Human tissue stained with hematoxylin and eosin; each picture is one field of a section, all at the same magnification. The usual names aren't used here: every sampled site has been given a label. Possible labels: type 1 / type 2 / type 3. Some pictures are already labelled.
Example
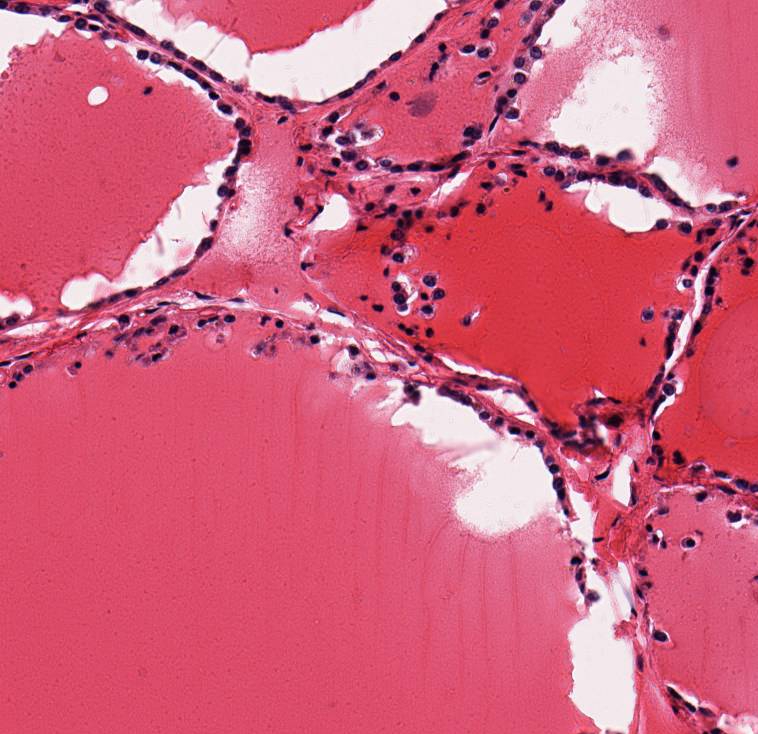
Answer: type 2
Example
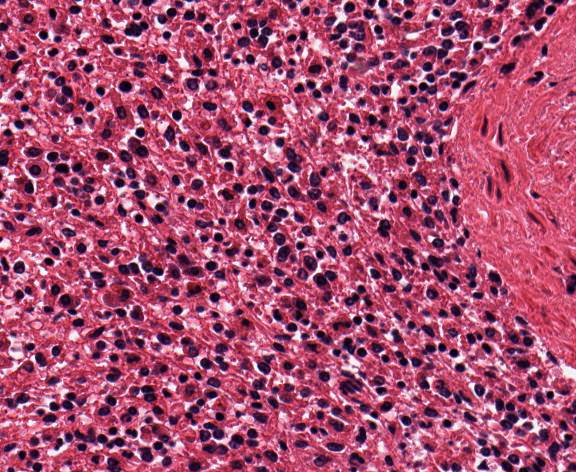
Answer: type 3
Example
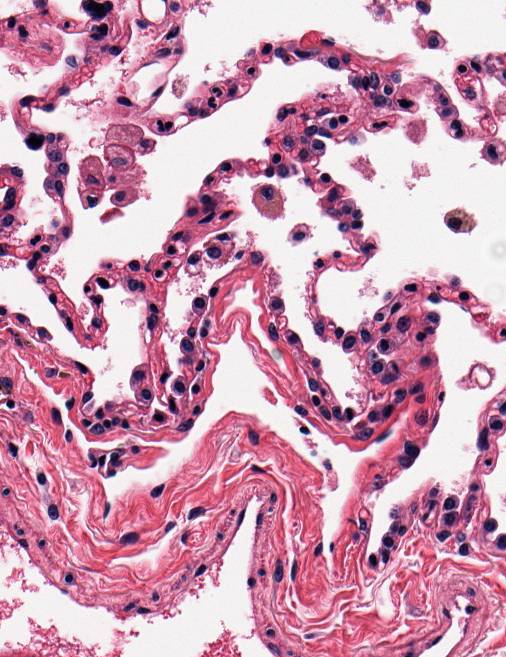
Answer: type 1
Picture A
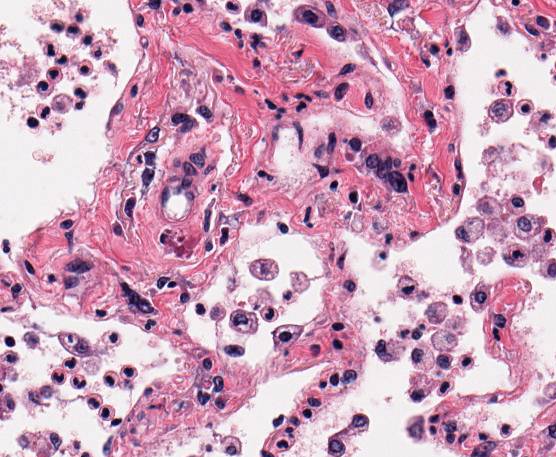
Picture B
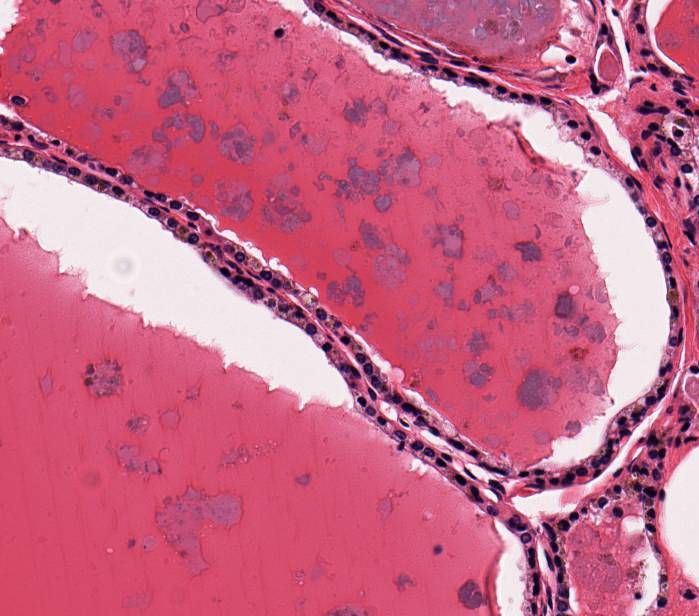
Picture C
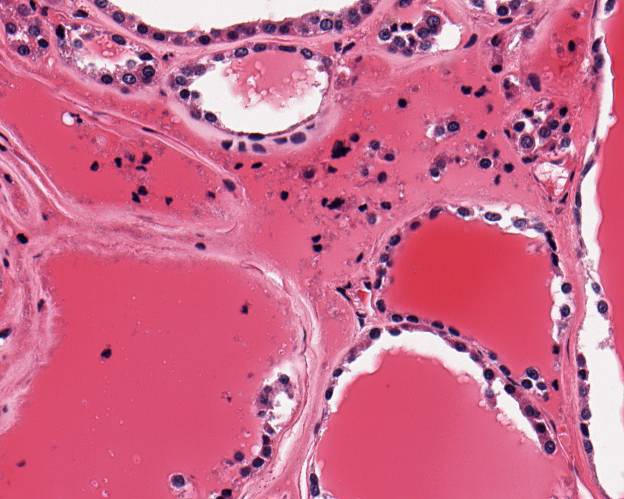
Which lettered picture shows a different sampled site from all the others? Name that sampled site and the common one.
Different: A, type 1. Others: type 2.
